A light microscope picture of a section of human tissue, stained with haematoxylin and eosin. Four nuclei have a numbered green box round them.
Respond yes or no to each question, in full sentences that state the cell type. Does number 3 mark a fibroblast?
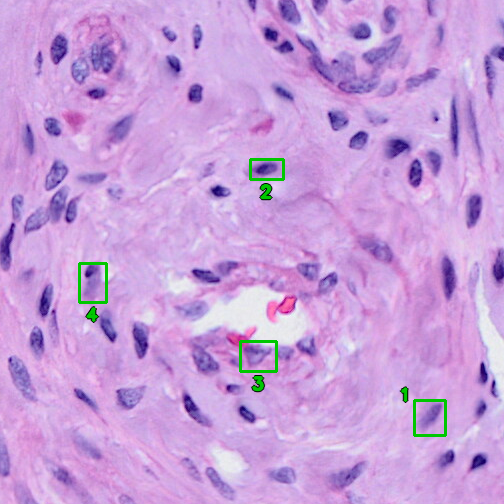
No, cell 3 is an endothelial cell; it is not a fibroblast.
